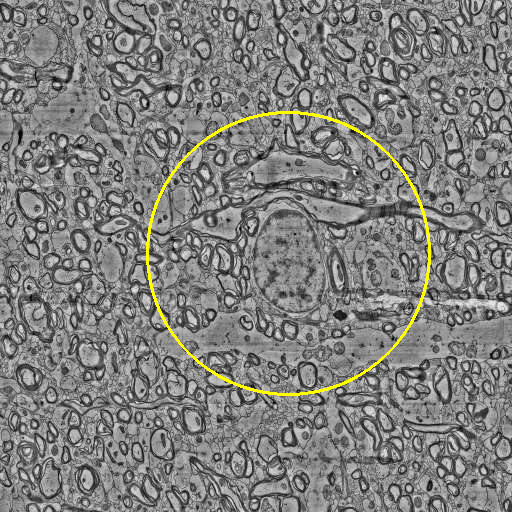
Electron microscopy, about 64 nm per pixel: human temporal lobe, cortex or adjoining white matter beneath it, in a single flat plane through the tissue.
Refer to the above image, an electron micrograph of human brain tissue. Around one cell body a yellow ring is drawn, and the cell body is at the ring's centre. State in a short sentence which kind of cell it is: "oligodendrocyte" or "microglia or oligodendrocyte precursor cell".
The centre of the ring falls on a microglial cell or oligodendrocyte precursor cell.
